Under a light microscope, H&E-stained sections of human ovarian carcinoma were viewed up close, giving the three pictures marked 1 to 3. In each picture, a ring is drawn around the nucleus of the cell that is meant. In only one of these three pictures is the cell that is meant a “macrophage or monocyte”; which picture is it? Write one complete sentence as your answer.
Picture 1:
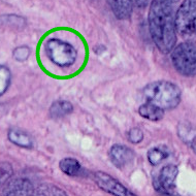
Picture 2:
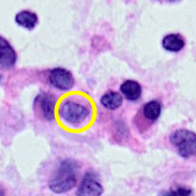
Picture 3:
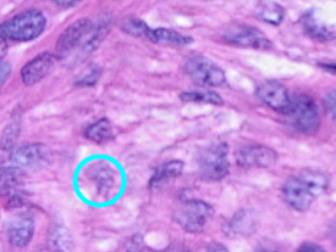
The picture with the “macrophage or monocyte” is 2.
